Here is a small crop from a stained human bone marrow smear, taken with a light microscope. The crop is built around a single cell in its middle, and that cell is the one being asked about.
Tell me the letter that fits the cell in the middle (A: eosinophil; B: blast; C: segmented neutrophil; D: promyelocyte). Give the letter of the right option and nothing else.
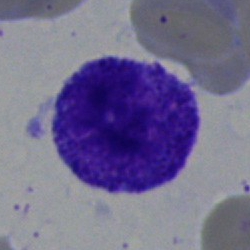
D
